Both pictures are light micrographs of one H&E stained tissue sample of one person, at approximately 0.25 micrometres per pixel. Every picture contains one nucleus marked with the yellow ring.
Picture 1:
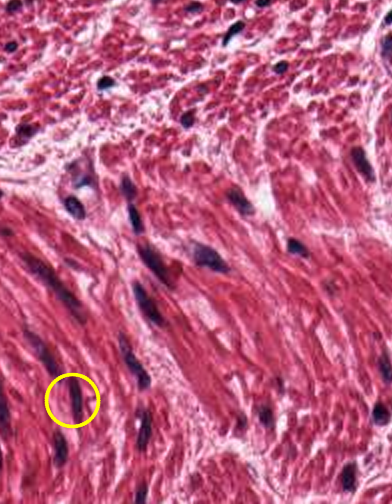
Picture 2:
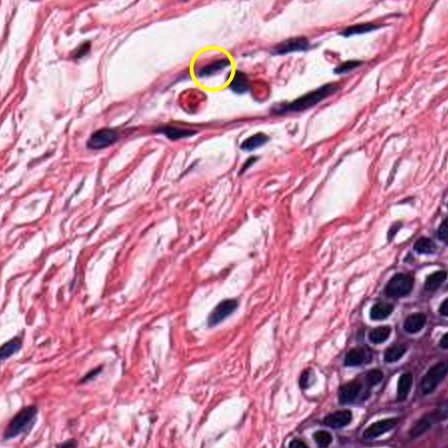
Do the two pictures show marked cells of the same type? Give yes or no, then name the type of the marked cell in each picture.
No, the first is a smooth muscle cell and the second an endothelial cell.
